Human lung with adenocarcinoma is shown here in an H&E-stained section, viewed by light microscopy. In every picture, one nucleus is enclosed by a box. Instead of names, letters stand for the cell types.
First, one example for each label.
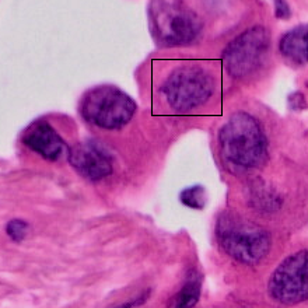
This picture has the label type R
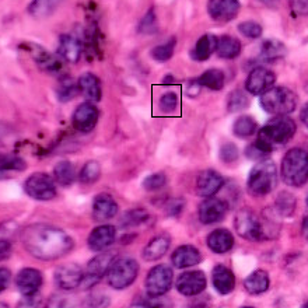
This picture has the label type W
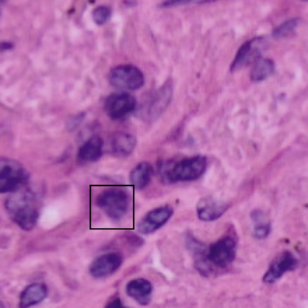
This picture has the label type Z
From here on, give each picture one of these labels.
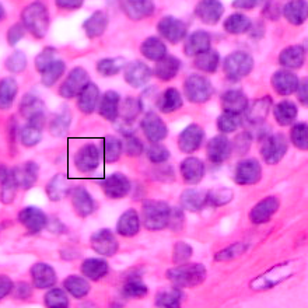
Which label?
type W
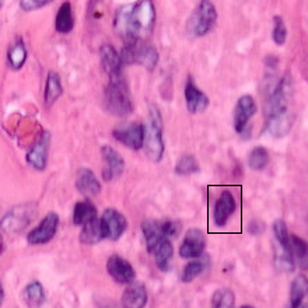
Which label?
type Z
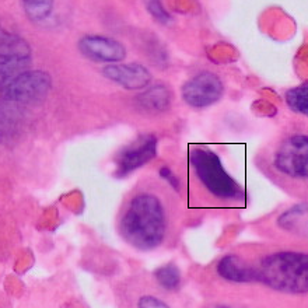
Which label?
type R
